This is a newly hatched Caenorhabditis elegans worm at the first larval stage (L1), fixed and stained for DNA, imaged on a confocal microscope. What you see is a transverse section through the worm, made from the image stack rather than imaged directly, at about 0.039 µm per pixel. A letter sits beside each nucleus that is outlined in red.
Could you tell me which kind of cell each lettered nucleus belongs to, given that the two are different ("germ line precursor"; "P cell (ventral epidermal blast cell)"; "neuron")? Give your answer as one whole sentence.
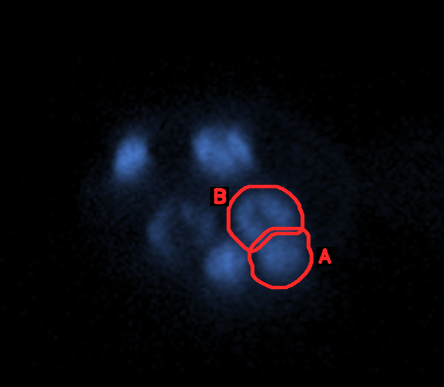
A belongs to a P cell (ventral epidermal blast cell) and B to a germ line precursor.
